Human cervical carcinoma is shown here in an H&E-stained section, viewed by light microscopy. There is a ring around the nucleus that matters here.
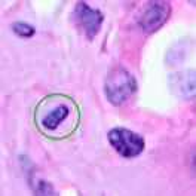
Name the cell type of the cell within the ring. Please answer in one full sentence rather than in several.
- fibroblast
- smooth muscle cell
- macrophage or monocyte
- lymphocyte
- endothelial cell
The category to which the cell within the ring belongs is that of a fibroblast.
